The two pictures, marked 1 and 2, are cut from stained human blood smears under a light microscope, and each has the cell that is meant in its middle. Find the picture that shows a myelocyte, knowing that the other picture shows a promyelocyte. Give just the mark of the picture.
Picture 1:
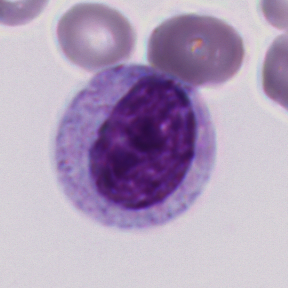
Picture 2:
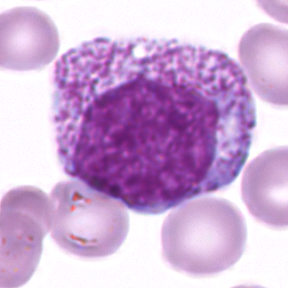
1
